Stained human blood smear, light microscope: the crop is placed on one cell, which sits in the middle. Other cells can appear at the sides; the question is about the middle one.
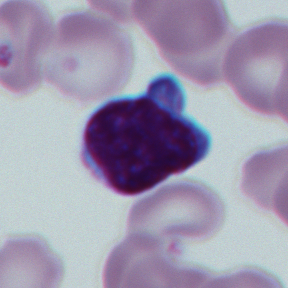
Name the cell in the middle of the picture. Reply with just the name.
typical lymphocyte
